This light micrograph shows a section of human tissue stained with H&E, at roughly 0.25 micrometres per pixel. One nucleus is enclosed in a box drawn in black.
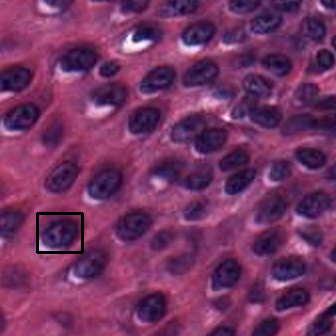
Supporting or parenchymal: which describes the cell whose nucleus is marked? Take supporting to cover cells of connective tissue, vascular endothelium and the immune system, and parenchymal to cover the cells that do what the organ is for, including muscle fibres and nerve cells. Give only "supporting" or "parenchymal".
parenchymal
